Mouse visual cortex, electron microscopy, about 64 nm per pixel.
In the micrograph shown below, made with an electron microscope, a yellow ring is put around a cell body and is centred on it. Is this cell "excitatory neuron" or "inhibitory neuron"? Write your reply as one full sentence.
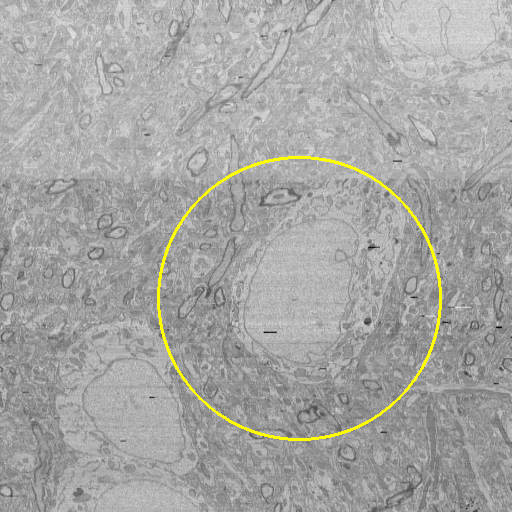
In the micrograph, an inhibitory neuron is the cell at the centre of the yellow ring.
